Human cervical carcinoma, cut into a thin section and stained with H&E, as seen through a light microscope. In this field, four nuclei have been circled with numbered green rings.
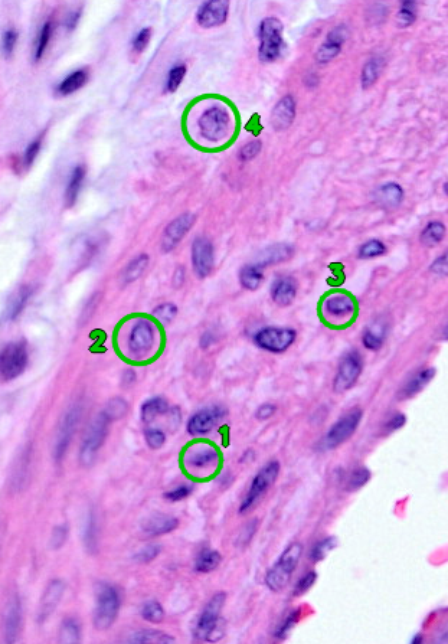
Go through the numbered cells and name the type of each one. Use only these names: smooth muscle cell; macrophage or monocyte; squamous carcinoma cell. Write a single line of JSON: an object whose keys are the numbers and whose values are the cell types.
{"1": "smooth muscle cell", "2": "smooth muscle cell", "3": "smooth muscle cell", "4": "macrophage or monocyte"}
